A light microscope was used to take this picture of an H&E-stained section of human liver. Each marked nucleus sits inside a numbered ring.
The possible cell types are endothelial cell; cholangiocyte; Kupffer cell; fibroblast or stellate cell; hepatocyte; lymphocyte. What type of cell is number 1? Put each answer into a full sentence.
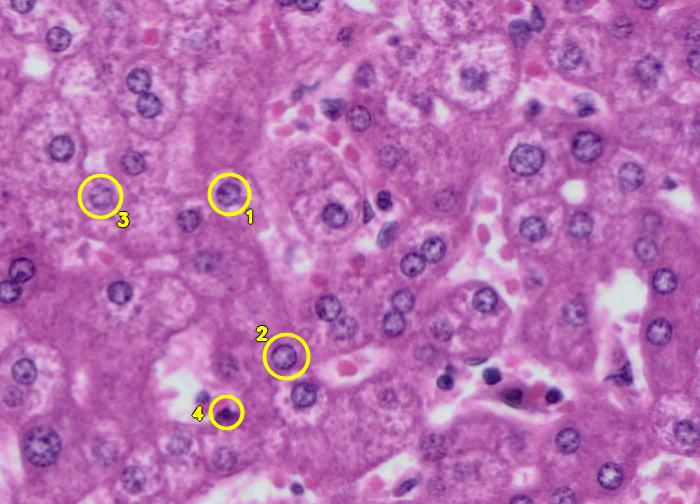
The cell tagged with 1 in this tissue section is a hepatocyte.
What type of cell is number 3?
The cell indicated with the number 3 is classed as a hepatocyte.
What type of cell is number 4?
Cell 4 of the marked set is an endothelial cell.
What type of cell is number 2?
The numbered cell 2 in this field is a hepatocyte.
